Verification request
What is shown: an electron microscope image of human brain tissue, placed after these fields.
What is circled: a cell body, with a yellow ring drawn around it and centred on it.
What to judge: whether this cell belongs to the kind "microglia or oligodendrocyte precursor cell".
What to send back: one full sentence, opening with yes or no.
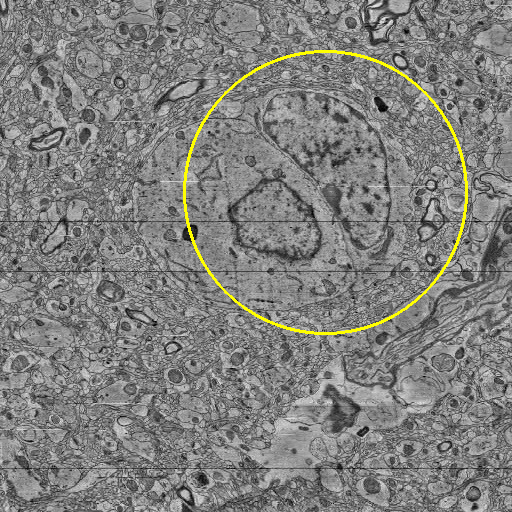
Yes, the cell on which the yellow ring is centred in the picture is of that kind.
